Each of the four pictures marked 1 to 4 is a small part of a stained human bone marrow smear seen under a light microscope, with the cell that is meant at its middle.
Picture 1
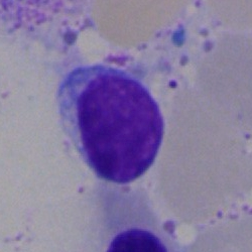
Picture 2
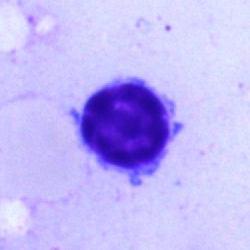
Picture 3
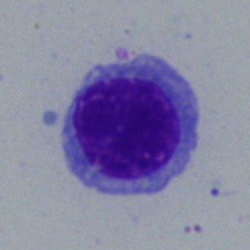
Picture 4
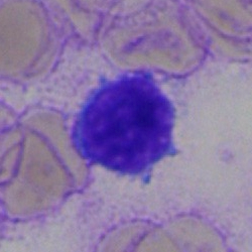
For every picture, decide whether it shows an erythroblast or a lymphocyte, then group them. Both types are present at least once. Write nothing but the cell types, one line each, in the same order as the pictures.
lymphocyte
lymphocyte
erythroblast
lymphocyte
